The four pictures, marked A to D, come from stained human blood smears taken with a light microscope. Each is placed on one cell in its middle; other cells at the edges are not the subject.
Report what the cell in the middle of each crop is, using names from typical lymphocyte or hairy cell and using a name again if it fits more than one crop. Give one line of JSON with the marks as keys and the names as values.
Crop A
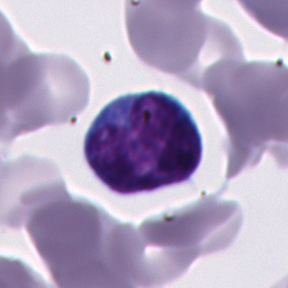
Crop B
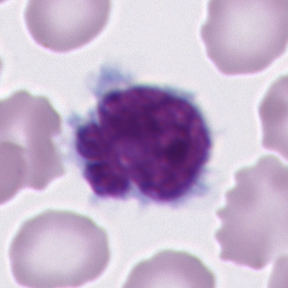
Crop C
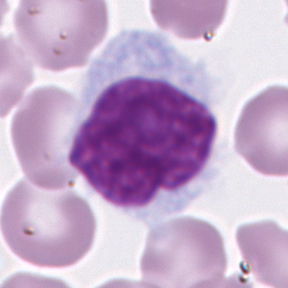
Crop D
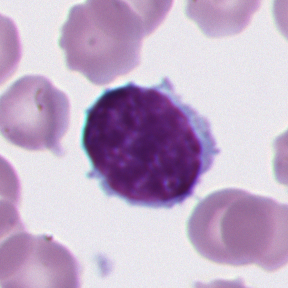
{"A": "typical lymphocyte", "B": "hairy cell", "C": "hairy cell", "D": "typical lymphocyte"}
